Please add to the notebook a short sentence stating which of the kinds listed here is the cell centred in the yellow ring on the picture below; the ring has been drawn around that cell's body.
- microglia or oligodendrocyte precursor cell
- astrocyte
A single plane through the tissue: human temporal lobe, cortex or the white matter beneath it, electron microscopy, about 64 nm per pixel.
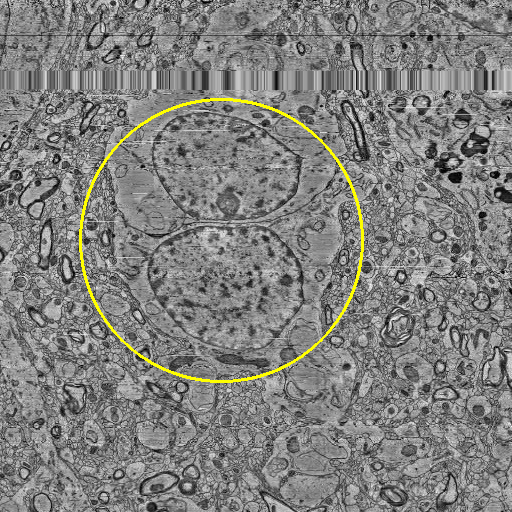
The cell centred in the yellow ring is an astrocyte.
